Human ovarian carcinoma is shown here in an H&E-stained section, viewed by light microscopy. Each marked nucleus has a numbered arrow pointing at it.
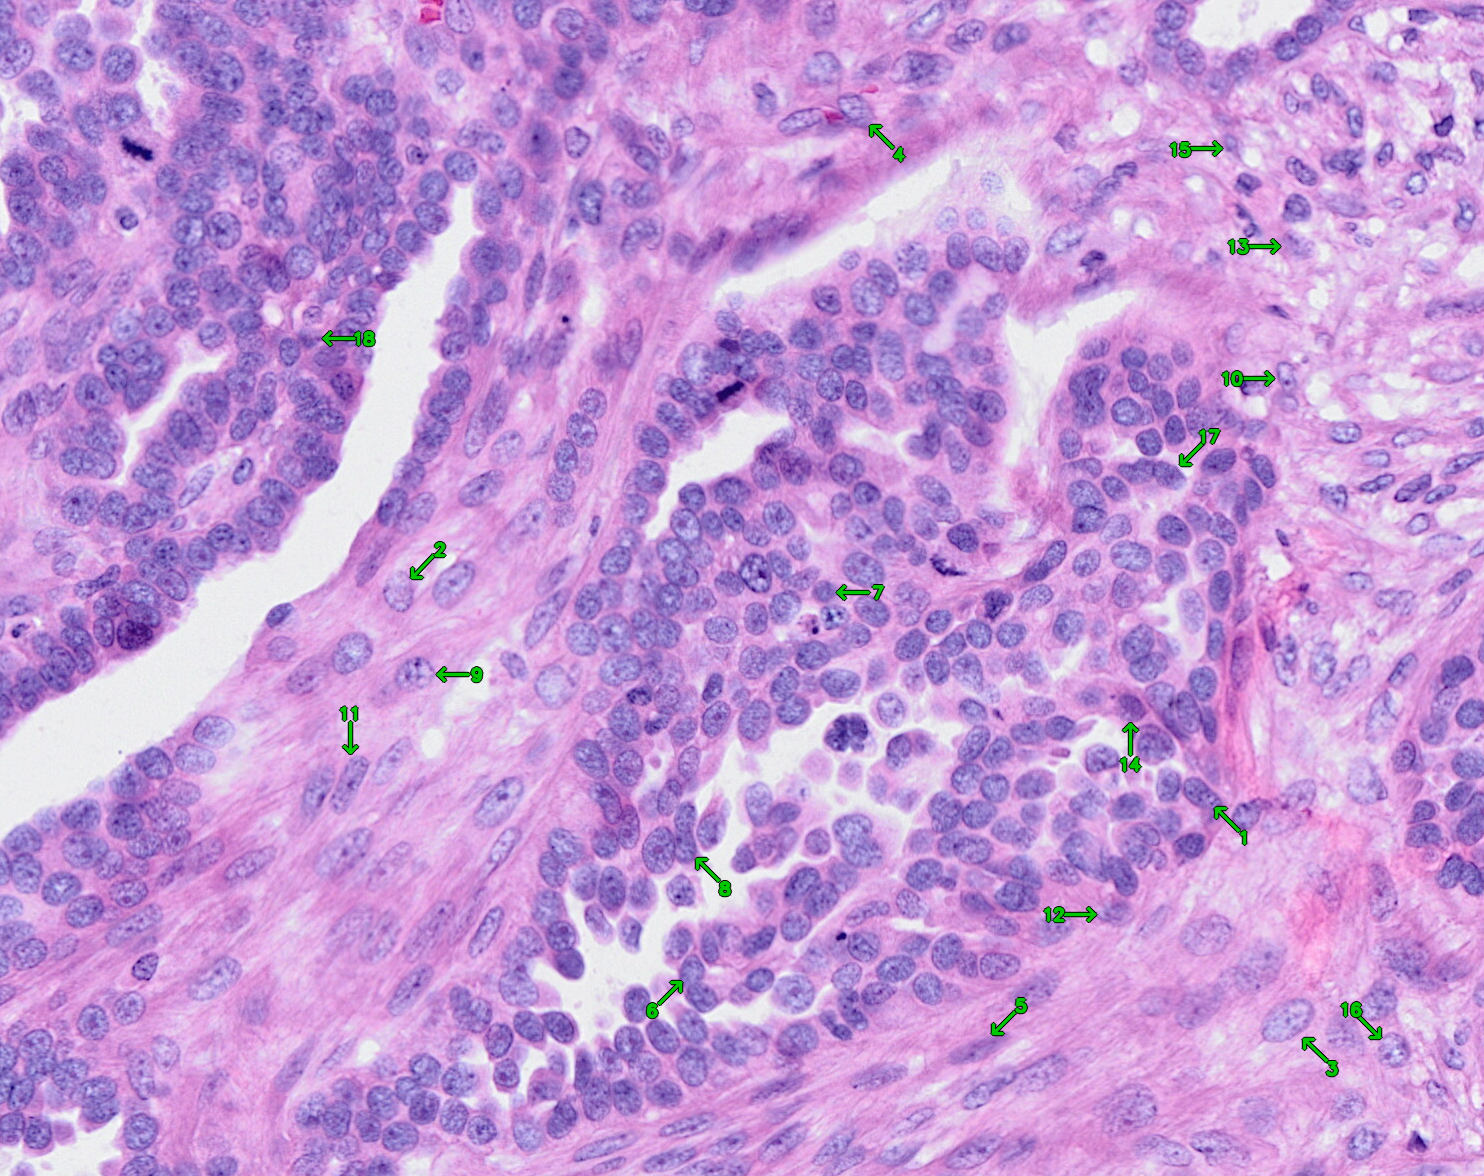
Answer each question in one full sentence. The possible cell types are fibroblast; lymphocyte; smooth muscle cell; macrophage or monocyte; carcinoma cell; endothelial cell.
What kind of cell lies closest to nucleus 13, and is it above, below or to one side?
A macrophage or monocyte lies closest, above nucleus 13.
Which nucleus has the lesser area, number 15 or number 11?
Number 15 is smaller, since number 11 takes up about 2.5 times as much area.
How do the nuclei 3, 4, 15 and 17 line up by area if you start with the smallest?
The order from the smallest nucleus to the largest is 15, 17, 4, 3.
